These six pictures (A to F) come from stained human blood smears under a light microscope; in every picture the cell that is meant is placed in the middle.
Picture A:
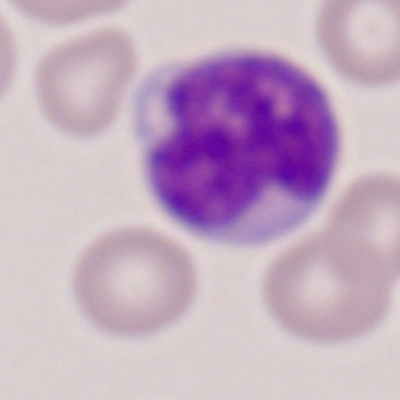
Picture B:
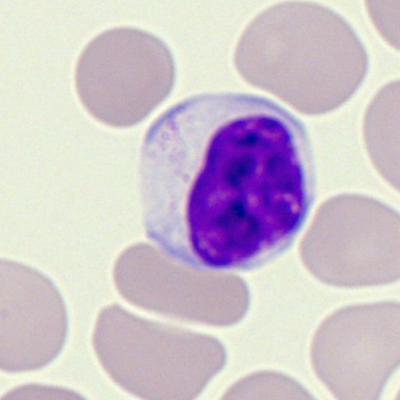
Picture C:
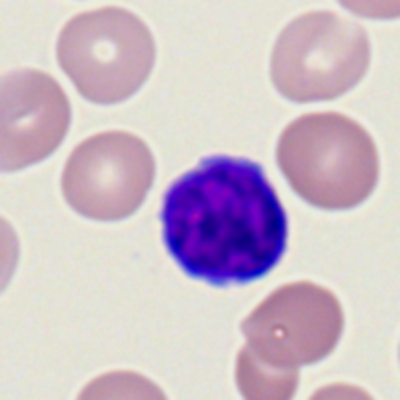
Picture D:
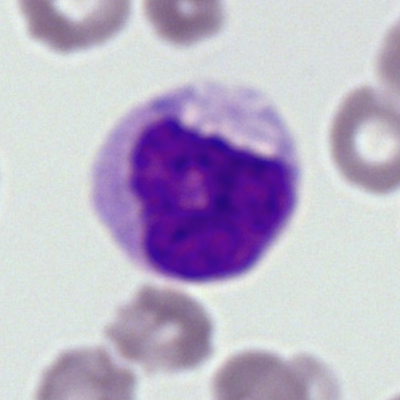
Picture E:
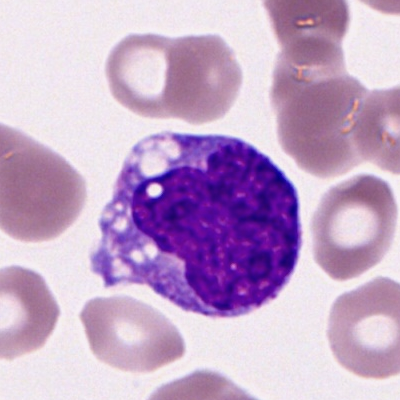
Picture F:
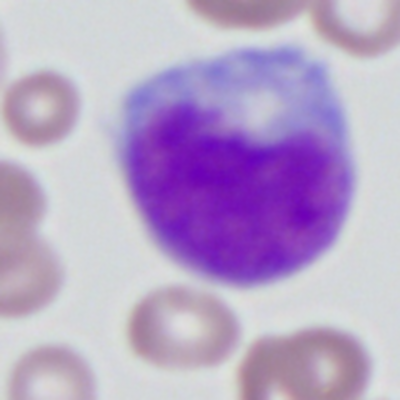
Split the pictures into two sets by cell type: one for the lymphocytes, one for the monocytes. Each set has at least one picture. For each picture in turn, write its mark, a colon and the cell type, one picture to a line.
A: lymphocyte
B: lymphocyte
C: lymphocyte
D: monocyte
E: monocyte
F: monocyte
